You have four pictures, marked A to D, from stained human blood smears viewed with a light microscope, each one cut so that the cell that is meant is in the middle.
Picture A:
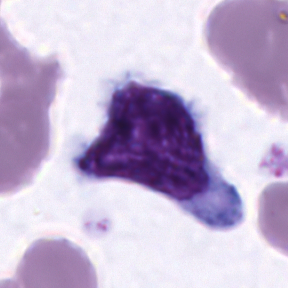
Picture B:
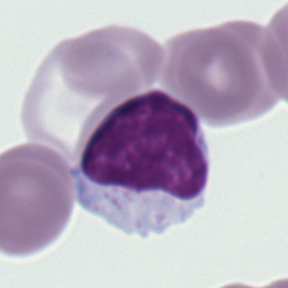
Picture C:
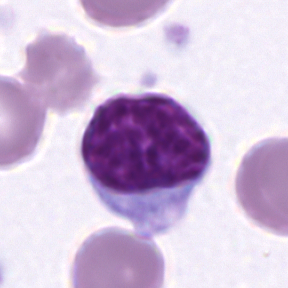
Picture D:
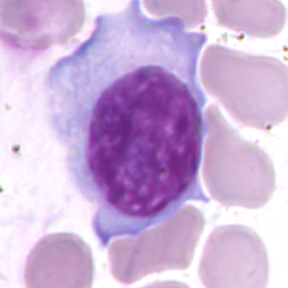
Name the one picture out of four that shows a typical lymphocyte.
B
